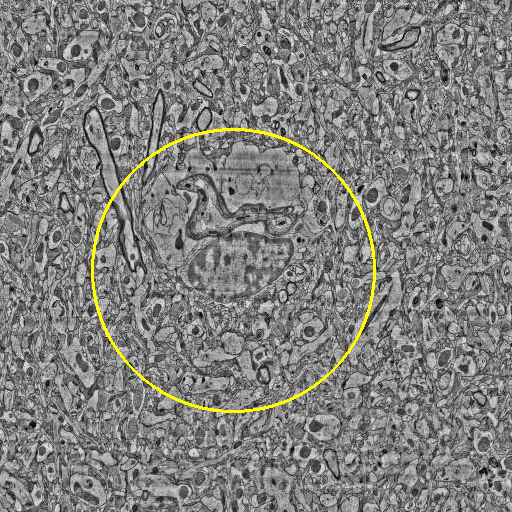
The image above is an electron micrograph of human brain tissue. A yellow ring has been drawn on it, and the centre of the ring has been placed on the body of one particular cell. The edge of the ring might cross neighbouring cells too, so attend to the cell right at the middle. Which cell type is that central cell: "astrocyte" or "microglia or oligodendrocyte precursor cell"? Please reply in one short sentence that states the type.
The central cell in the ring is a microglial cell or oligodendrocyte precursor cell.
